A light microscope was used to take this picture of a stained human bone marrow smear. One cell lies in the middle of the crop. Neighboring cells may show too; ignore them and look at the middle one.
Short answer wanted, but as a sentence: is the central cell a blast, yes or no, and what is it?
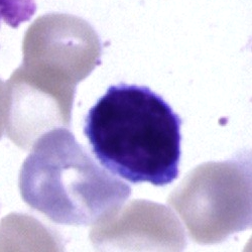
No, the centred cell is a lymphocyte instead of a blast.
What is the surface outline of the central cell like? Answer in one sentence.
Projections or ragged segments give this cell an irregular rather than smooth border.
